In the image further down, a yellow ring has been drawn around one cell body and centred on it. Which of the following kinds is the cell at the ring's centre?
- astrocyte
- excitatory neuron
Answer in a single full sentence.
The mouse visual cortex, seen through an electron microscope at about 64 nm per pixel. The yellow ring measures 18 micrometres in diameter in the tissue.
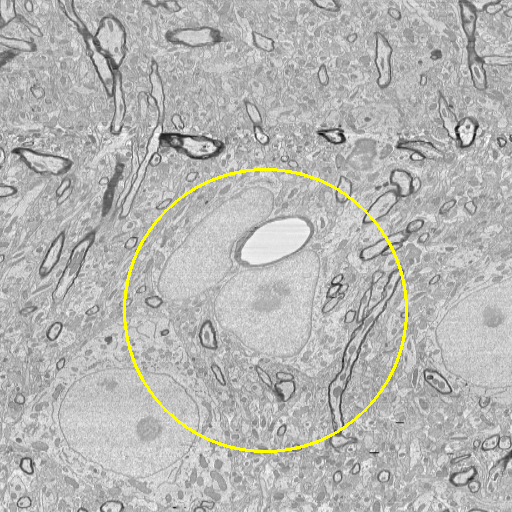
In the picture, the cell sitting at the centre of the yellow ring is an astrocyte.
